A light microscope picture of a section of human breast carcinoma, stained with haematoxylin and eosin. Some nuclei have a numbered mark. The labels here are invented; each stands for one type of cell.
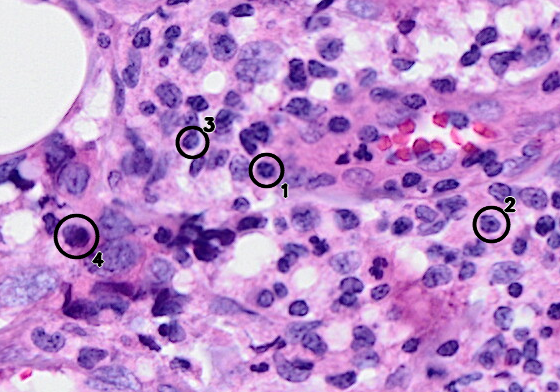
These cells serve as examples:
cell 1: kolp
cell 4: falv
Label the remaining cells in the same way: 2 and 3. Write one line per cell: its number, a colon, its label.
2: kolp
3: kolp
